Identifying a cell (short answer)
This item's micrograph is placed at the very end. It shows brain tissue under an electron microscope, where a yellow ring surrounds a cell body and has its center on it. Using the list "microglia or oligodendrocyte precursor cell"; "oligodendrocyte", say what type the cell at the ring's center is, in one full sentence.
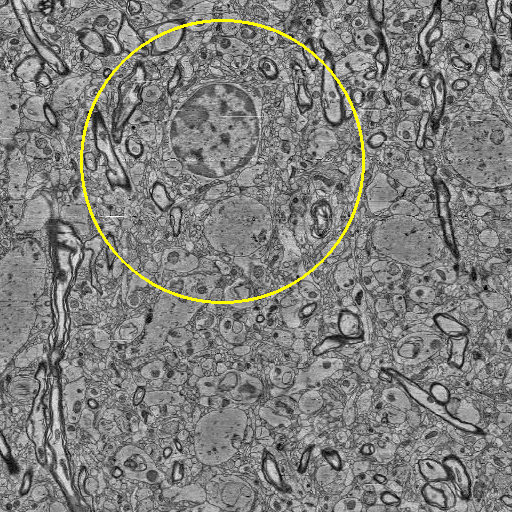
This picture shows a microglial cell or oligodendrocyte precursor cell at the center of the yellow ring drawn on it.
